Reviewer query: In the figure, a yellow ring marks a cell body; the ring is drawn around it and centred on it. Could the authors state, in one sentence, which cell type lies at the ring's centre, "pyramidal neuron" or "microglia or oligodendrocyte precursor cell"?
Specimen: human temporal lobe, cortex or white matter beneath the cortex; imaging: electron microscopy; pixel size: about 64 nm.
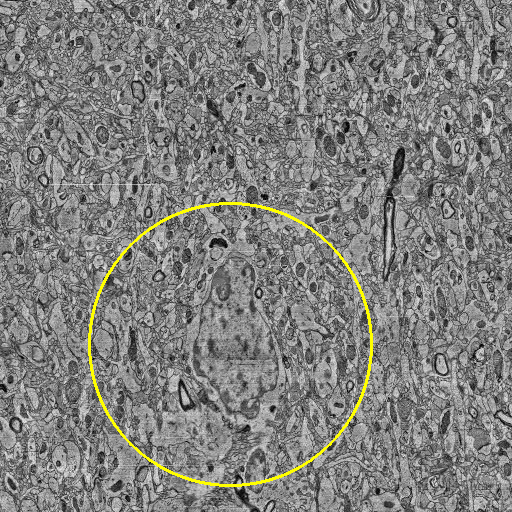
The ring is centred on a microglial cell or oligodendrocyte precursor cell.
